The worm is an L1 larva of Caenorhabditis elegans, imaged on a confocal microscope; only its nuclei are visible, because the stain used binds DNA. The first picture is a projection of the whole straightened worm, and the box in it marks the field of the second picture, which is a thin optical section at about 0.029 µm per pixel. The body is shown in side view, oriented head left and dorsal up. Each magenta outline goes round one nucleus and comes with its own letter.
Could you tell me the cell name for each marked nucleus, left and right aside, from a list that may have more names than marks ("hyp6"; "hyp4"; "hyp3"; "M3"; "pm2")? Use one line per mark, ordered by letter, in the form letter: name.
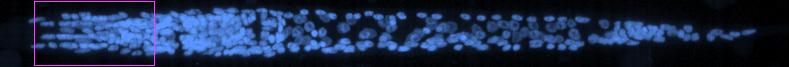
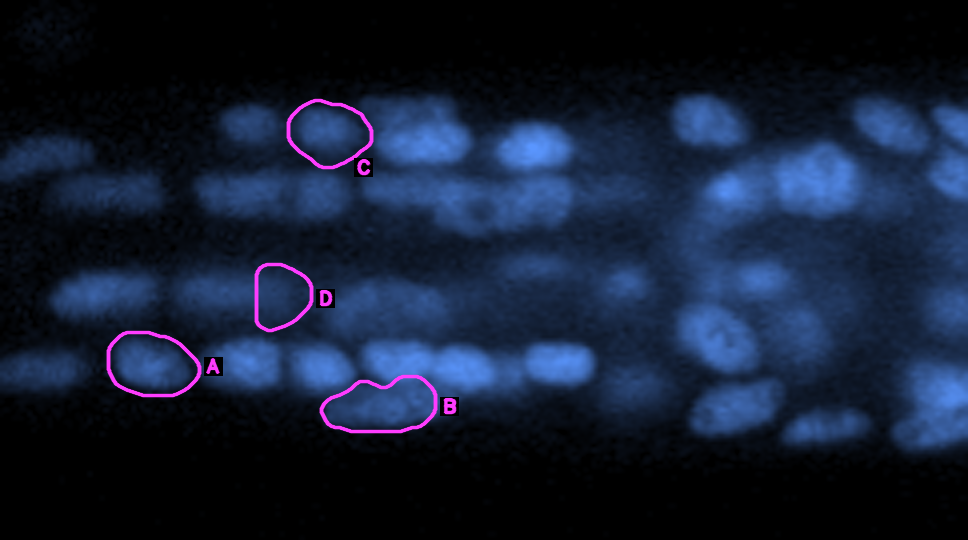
A: hyp4
B: hyp6
C: hyp3
D: pm2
